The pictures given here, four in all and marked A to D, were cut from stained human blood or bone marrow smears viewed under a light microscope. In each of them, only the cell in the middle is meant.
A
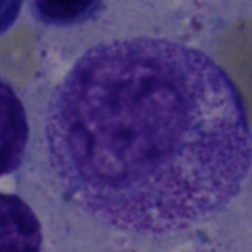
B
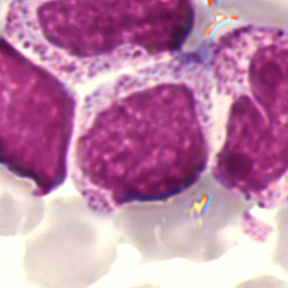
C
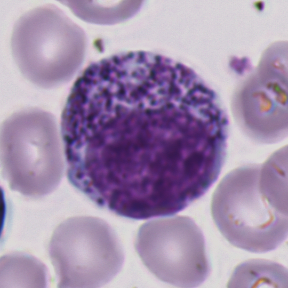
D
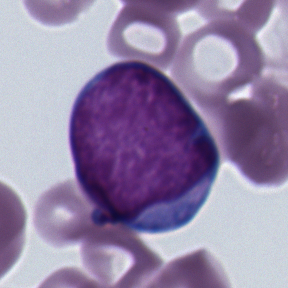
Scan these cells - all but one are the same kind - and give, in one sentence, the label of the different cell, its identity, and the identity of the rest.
In every crop except crop D, which shows a blast, myelocytes are shown.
